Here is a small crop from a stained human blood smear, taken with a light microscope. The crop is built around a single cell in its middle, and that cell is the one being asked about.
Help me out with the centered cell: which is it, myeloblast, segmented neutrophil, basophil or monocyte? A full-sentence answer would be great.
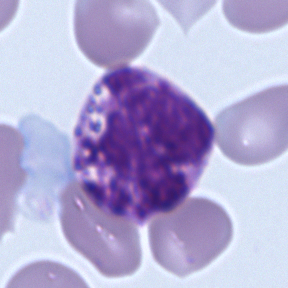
Centred in the crop is a basophil.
